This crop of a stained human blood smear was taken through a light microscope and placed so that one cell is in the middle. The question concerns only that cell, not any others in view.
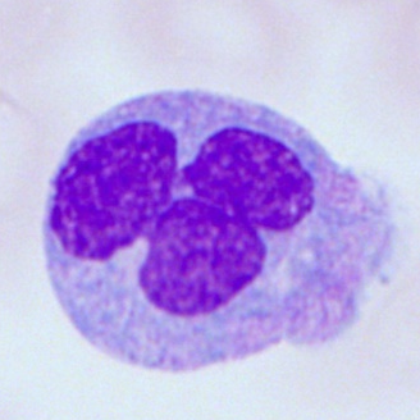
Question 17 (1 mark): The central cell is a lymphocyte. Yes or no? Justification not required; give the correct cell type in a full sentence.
No, the middle one is a monocyte rather than a lymphocyte.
